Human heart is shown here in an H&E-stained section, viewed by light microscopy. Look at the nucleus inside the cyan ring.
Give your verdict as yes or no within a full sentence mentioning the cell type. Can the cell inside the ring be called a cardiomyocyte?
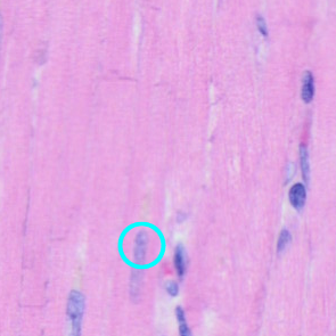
Yes, the cell inside the ring is, by its type, a cardiomyocyte.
